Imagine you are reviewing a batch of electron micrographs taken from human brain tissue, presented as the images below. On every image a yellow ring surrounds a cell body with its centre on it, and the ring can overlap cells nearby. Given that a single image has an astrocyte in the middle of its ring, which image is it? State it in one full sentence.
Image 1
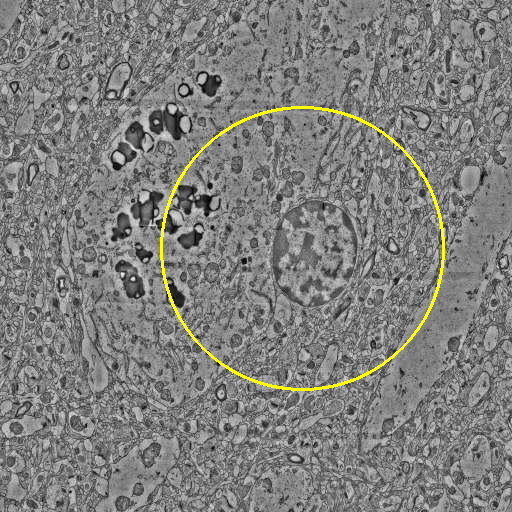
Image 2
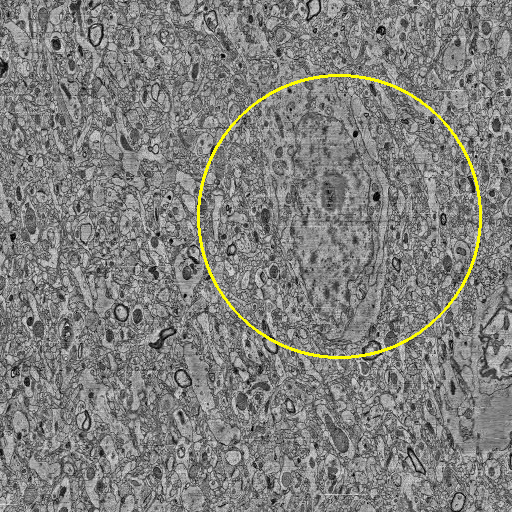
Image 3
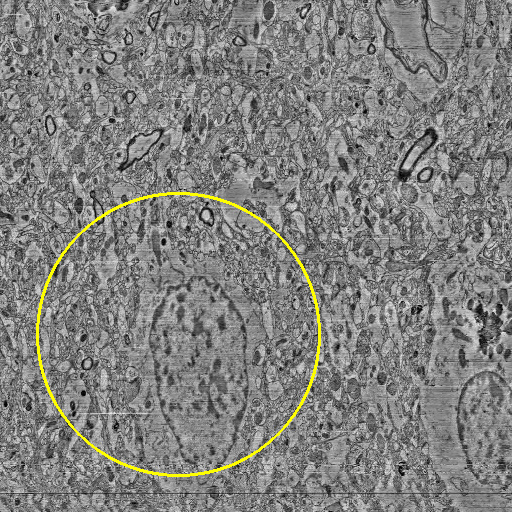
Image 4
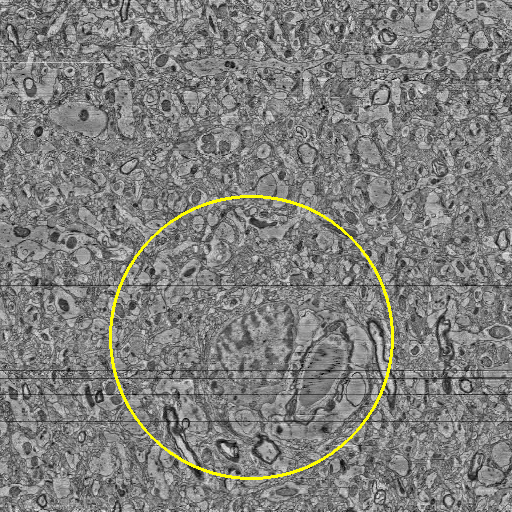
Of all the images, number 3 has the described cell at the centre of its ring.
